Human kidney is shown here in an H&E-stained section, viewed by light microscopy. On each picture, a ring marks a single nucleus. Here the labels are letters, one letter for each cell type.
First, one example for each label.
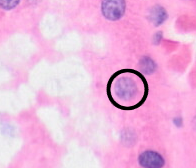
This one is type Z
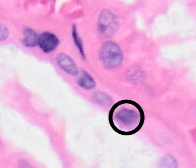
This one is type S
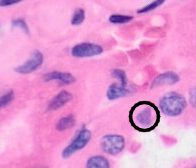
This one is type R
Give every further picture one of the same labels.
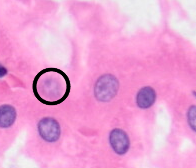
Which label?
type Z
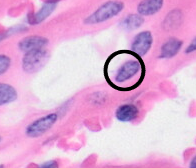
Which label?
type S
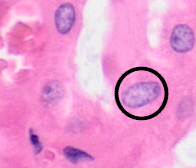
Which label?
type Z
